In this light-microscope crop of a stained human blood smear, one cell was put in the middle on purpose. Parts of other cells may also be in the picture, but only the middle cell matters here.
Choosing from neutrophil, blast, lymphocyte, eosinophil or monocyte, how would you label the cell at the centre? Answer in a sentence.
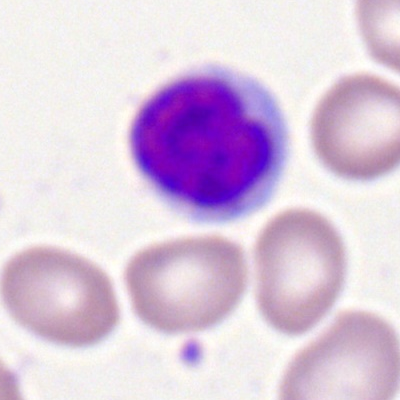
The middle position in this crop is taken by a lymphocyte.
